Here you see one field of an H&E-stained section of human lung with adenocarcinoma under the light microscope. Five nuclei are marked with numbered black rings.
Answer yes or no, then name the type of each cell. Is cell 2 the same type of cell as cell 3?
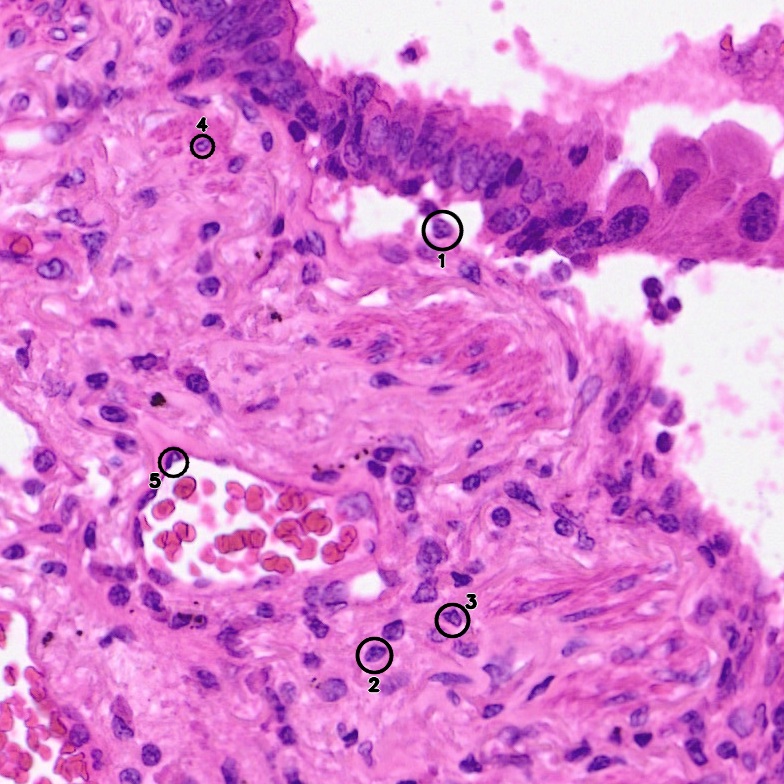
Yes, cell number 2 and cell number 3 are both lymphocytes.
